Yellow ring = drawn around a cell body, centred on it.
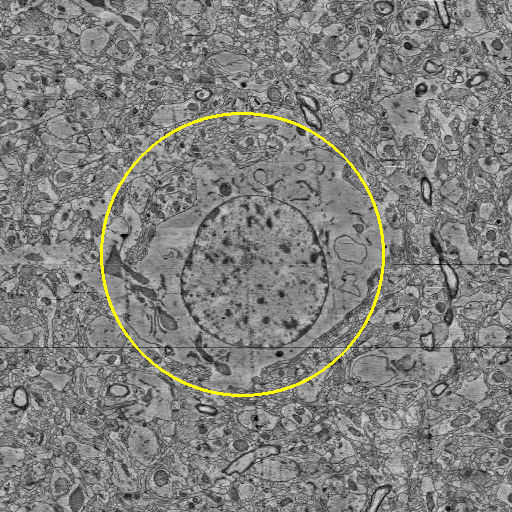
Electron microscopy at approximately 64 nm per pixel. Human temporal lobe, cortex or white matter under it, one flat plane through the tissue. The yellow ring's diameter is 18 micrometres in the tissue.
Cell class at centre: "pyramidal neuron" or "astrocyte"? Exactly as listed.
astrocyte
